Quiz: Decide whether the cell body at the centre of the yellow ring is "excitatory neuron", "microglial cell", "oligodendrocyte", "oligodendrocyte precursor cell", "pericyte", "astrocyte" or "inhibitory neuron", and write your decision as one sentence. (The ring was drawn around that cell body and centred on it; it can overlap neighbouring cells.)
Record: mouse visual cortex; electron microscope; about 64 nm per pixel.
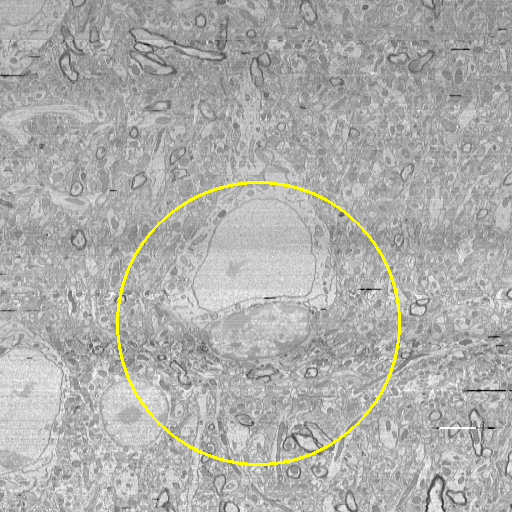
The cell the ring is centred on is an oligodendrocyte.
